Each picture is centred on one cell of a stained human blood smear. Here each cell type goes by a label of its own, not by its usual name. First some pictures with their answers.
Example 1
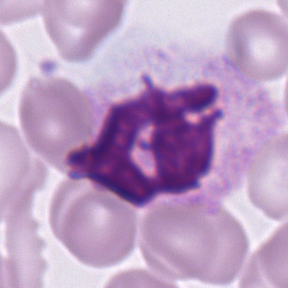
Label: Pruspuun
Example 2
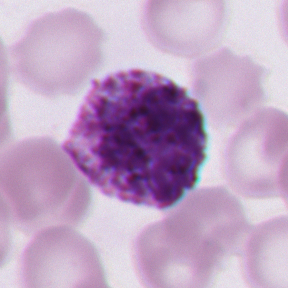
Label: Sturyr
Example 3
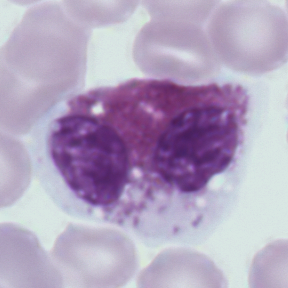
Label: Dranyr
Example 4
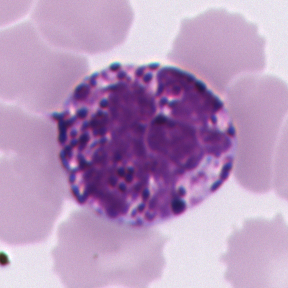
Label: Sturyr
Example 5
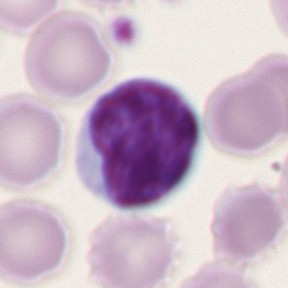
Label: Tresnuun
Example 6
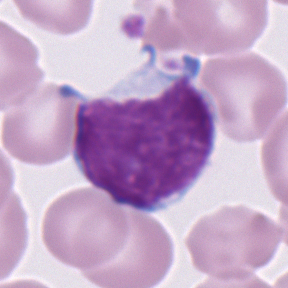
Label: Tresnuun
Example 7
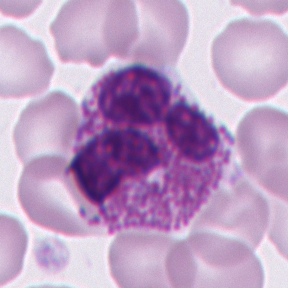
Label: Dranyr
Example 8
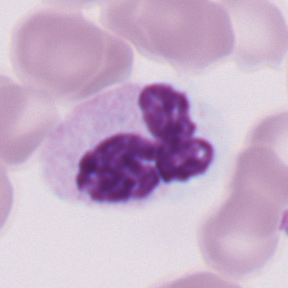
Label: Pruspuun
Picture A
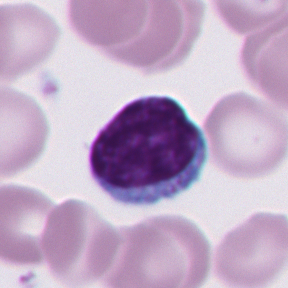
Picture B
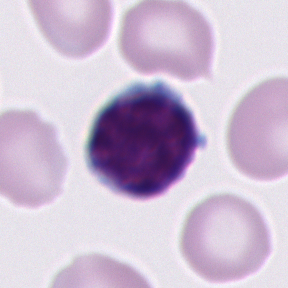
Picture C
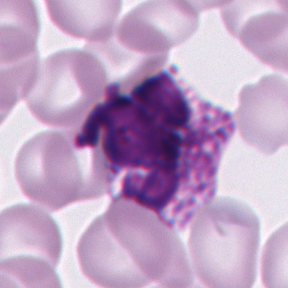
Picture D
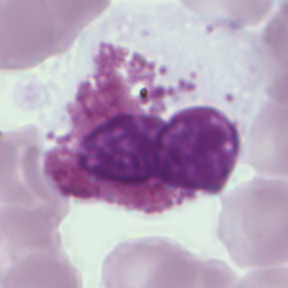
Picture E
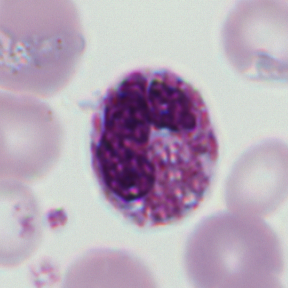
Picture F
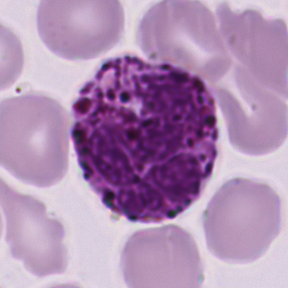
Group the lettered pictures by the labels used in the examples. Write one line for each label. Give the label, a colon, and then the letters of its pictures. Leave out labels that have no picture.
Sturyr: C, F
Dranyr: D, E
Tresnuun: A, B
